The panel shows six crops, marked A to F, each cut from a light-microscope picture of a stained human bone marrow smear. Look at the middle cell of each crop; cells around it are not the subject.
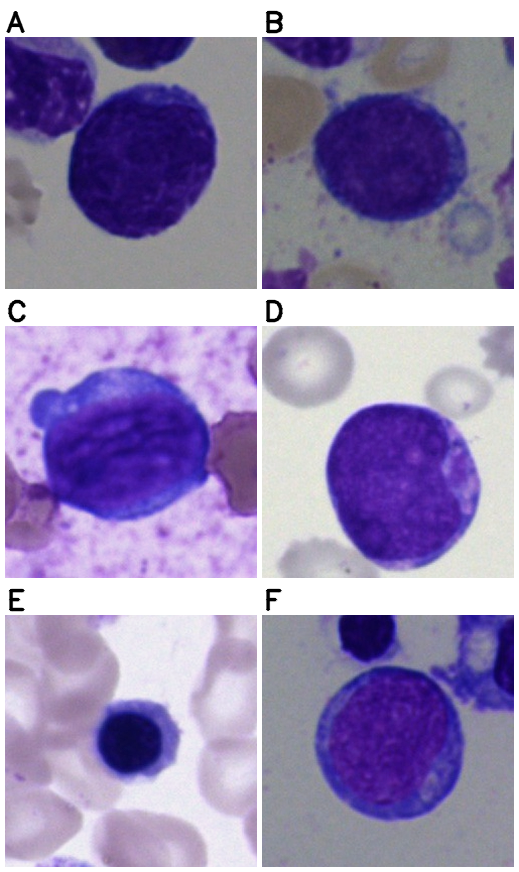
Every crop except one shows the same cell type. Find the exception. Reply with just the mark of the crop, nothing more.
E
